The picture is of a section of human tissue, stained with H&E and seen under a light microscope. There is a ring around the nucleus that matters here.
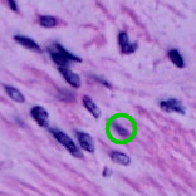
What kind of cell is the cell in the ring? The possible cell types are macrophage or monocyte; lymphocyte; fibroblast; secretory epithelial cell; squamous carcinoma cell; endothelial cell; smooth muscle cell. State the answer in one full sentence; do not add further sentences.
On this particular slide, the cell in the ring is a smooth muscle cell.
